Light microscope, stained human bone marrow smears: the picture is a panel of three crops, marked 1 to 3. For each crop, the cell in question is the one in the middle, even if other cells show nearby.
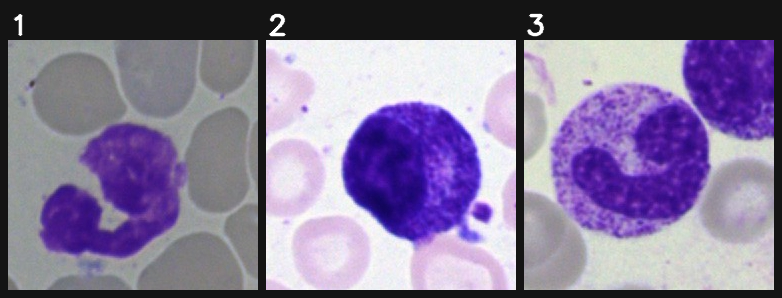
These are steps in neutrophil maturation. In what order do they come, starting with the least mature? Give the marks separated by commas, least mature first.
2, 3, 1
